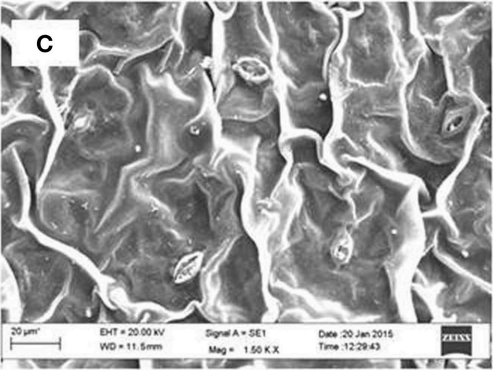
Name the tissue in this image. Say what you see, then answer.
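Irregular epidermal cells with raised, wavy boundaries. Scattered small elliptical pores bordered by paired cells.
Hence: leaf surface.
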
